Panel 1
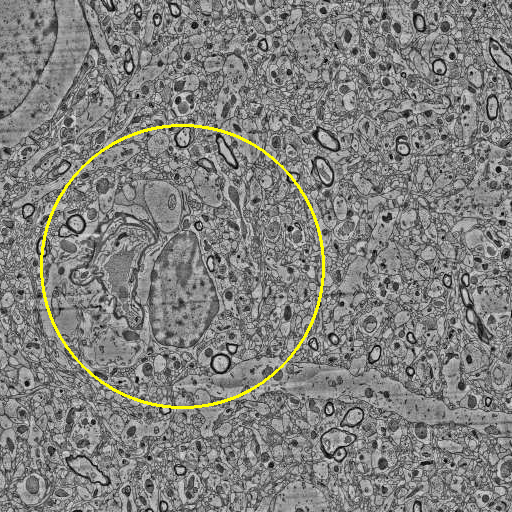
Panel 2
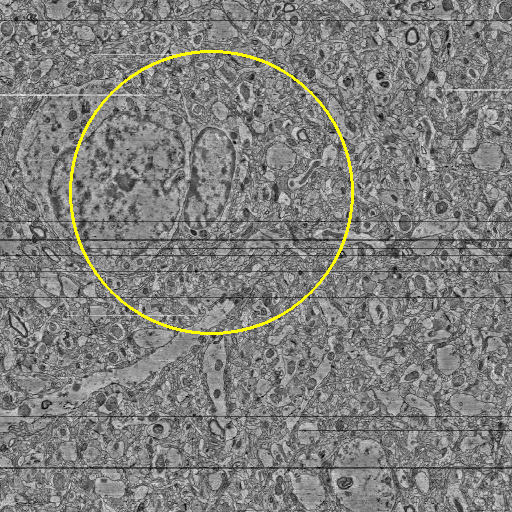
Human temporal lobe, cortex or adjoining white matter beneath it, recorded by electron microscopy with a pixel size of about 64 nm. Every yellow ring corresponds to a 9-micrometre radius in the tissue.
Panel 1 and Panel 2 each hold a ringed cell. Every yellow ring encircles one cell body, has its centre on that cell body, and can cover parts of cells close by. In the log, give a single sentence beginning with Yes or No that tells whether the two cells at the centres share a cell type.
Yes, in Panel 1 and Panel 2 the centred cells share a cell type.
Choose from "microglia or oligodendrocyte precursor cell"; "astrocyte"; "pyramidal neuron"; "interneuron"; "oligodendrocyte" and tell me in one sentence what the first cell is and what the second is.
Each of the ringed cells, first and second, is a microglial cell or oligodendrocyte precursor cell.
